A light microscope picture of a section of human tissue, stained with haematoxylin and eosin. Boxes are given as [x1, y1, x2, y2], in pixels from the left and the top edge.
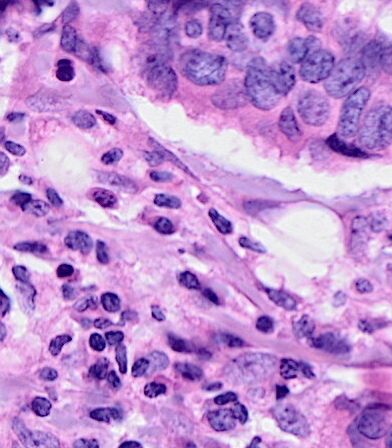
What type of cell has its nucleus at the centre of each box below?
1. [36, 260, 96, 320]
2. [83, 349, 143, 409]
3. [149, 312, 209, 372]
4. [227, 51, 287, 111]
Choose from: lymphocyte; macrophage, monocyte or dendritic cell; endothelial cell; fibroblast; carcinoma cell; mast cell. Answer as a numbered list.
1. lymphocyte
2. lymphocyte
3. lymphocyte
4. carcinoma cell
